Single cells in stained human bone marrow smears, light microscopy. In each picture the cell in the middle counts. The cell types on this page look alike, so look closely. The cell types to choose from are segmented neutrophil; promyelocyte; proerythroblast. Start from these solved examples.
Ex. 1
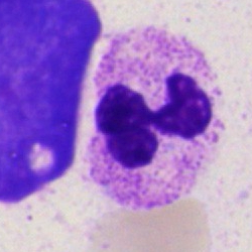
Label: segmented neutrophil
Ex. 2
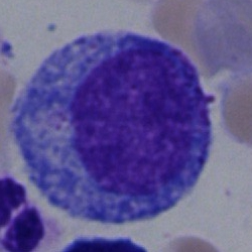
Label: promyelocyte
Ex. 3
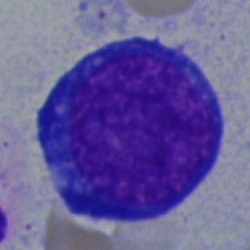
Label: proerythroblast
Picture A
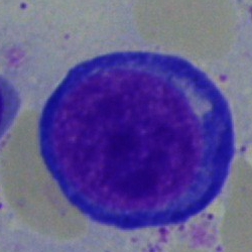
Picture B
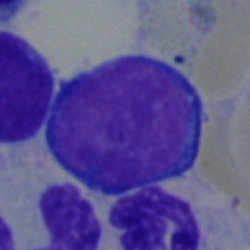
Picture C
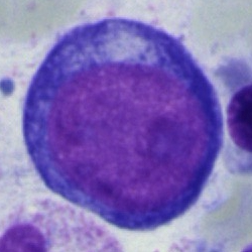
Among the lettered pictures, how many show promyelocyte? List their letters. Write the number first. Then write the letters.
0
